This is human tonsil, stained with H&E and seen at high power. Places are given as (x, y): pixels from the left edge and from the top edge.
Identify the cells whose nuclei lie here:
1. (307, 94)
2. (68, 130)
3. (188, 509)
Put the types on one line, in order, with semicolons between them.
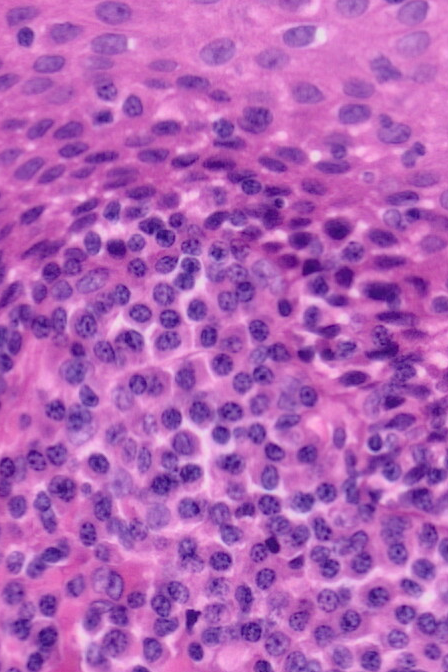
squamous epithelial cell; squamous epithelial cell; plasma cell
